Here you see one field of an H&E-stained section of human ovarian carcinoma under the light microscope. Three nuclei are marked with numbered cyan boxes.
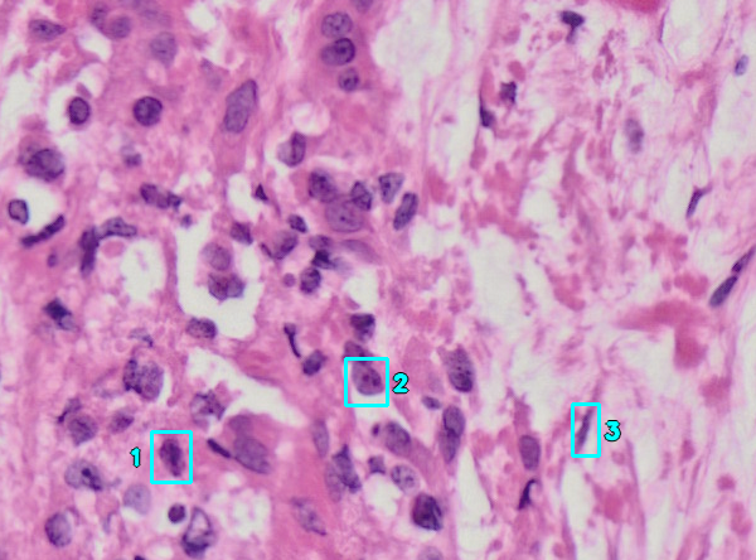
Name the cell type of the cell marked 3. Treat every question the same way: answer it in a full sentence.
The cell to which the number 3 is assigned is a fibroblast.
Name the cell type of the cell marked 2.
In this section, the cell numbered 2 is a carcinoma cell.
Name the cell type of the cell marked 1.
That cell with number 1 is a macrophage or monocyte.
